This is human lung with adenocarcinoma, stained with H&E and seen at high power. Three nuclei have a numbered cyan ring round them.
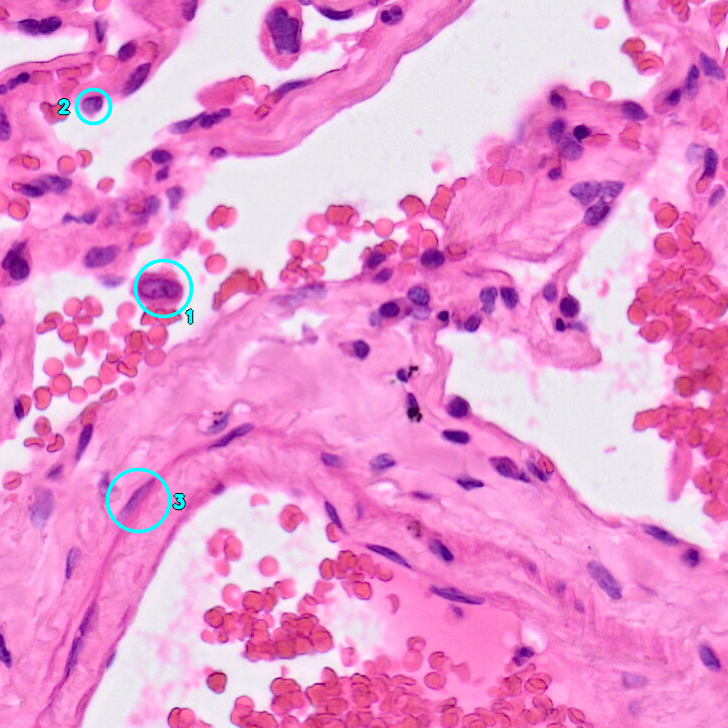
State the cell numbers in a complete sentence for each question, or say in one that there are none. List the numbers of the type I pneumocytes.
Cell 2, and no other numbered cell, is a type I pneumocyte.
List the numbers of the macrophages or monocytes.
Cell 1 is a macrophage or monocyte, and this holds for no other numbered cell.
